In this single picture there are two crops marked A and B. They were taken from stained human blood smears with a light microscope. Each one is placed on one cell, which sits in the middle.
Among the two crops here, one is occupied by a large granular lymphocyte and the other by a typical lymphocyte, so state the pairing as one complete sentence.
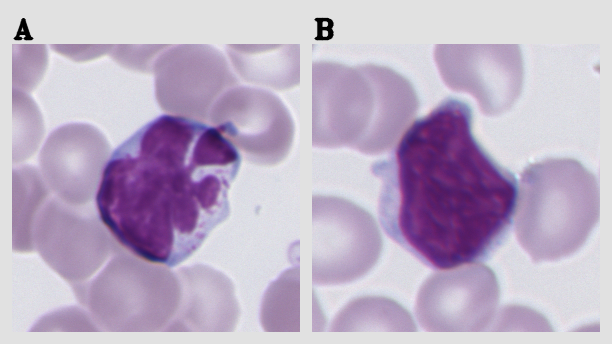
Crop A displays a large granular lymphocyte, and crop B displays a typical lymphocyte.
